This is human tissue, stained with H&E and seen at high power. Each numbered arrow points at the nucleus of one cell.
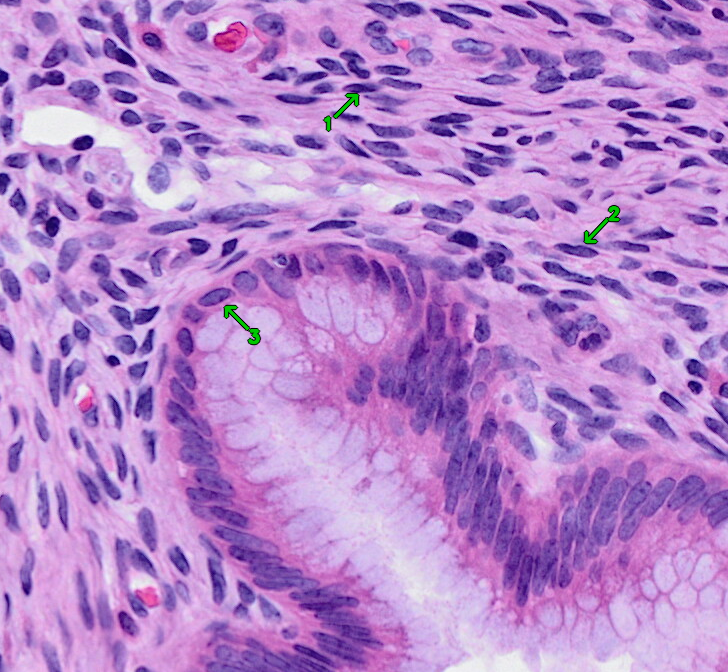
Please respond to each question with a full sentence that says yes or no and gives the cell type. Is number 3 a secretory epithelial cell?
Yes, within this section, cell number 3 is a secretory epithelial cell.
